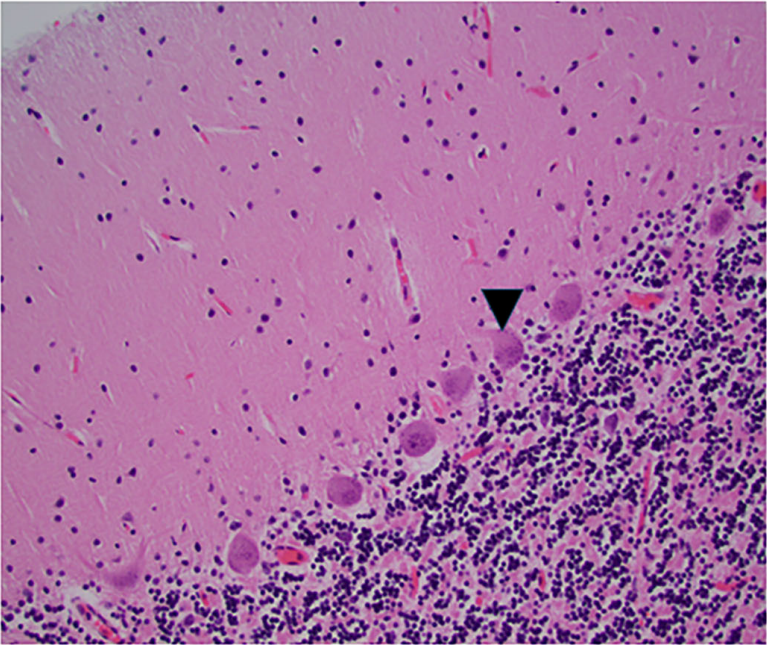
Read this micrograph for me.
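Cerebellar cortex with molecular layer, Purkinje cell layer and granular layer. The molecular layer is pale pink and sparsely cellular, with scattered small nuclei and thin capillaries. At its lower border a single row of large Purkinje cells with abundant purple cytoplasm and rounded cell bodies is evenly spaced. Beneath them the granular layer is densely packed with small, round, dark-staining nuclei. Small vessels with red blood cells cross both layers.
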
